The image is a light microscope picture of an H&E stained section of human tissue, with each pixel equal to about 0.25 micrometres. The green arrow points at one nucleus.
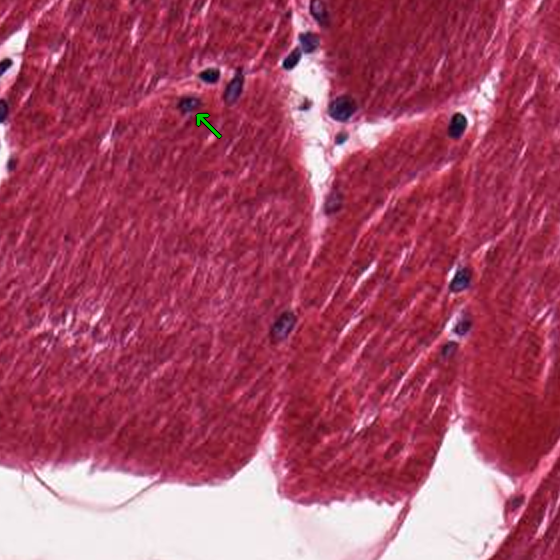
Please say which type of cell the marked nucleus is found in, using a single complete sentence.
Singled out by the mark is the nucleus of a skeletal muscle fibre.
